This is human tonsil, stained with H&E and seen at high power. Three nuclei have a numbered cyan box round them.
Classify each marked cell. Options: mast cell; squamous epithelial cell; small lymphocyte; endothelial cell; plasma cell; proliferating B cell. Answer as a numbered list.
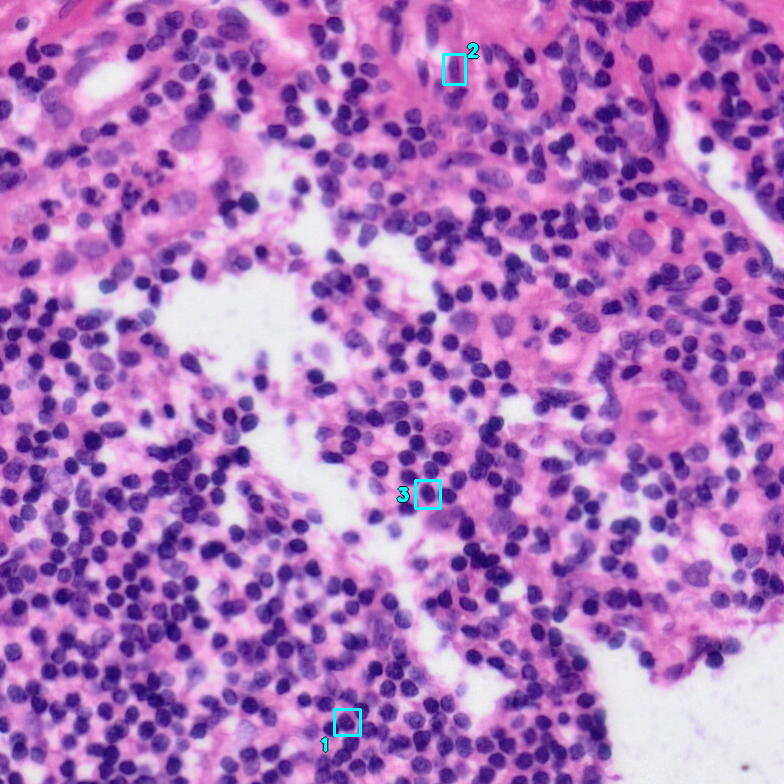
1. small lymphocyte
2. endothelial cell
3. small lymphocyte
